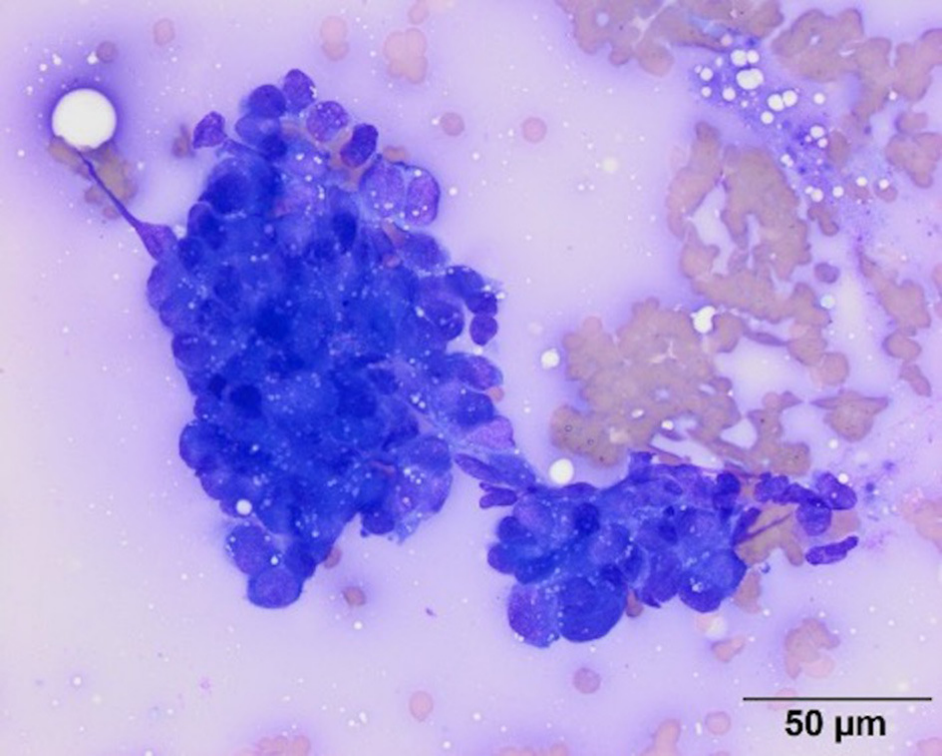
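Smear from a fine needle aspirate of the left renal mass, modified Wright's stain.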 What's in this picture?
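Two irregularly shaped, dense, cohesive clusters of round to cuboidal epithelial cells, crowded and overlapping, joined by a narrow strip of cells. Nuclear to cytoplasmic ratio is high; the scant cytoplasm stains medium to dark blue and holds a few small, sharply bounded clear vacuoles. Cells at the cluster edges bulge outward. Background is pale lilac with scattered pale tan-pink red blood cells, most densely in the upper right, and a few small clear droplets. Cohesive clustering fits an epithelial neoplasm, carcinoma.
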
